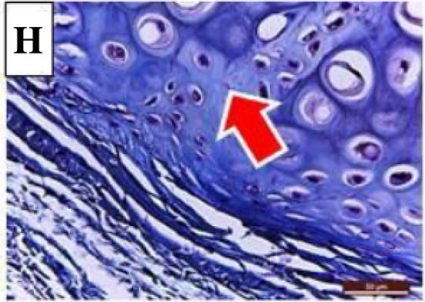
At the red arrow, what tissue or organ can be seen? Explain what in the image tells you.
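Immature cartilage. The arrow points to a zone of small, closely packed cells in pale blue matrix next to a fibrous layer. Further from the edge the cells become larger and rounded within distinct lacunae.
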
